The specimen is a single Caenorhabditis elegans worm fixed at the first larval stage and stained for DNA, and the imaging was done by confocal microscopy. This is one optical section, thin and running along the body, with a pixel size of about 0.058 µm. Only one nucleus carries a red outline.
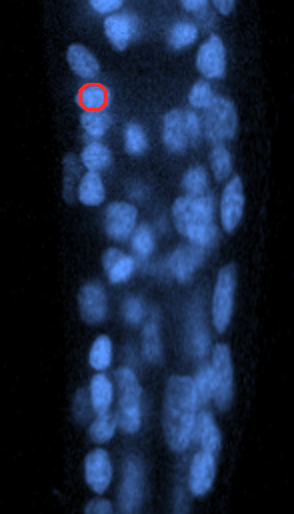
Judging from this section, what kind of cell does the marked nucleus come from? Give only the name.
neuron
